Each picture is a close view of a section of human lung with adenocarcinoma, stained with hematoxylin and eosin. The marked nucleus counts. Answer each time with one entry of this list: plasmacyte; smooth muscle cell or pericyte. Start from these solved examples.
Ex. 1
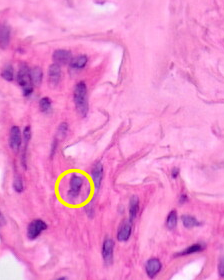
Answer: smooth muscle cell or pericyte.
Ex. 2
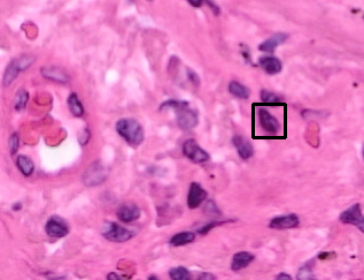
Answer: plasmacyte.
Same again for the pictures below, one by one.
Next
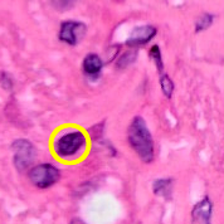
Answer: plasmacyte.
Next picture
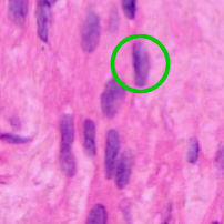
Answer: smooth muscle cell or pericyte.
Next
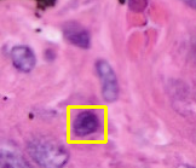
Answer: plasmacyte.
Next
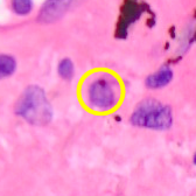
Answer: plasmacyte.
